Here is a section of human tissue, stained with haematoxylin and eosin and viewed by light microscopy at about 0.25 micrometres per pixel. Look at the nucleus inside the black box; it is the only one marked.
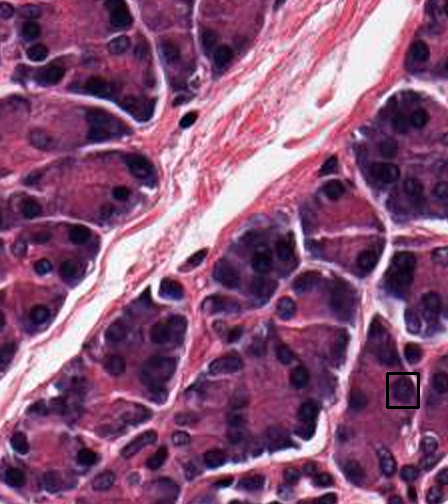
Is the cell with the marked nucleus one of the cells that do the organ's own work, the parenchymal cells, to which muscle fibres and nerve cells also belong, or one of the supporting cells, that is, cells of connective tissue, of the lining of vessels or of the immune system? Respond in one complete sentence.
The marked nucleus corresponds to a parenchymal cell, namely a pancreatic acinar cell.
